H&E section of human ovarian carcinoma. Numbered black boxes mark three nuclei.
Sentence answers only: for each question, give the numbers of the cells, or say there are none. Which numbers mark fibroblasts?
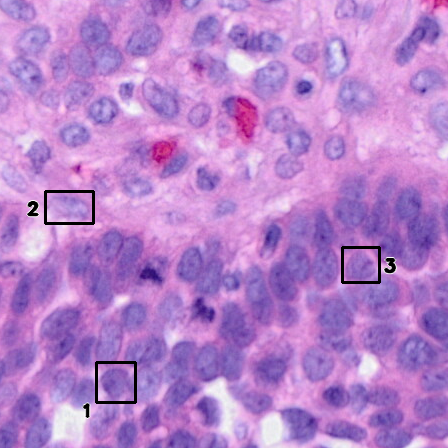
Cell 2 is a fibroblast, and it is the only numbered cell that is.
